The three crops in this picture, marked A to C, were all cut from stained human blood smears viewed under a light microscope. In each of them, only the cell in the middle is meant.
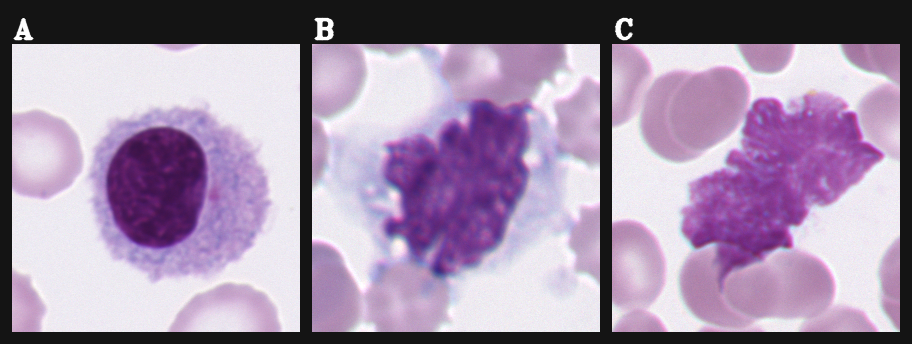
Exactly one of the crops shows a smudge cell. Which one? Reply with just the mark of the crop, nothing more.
C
